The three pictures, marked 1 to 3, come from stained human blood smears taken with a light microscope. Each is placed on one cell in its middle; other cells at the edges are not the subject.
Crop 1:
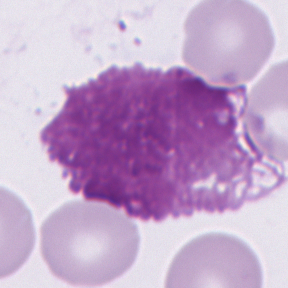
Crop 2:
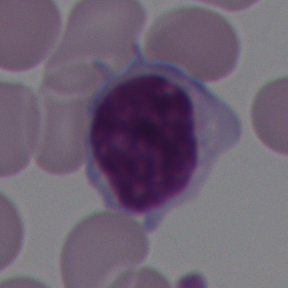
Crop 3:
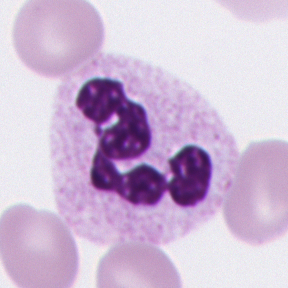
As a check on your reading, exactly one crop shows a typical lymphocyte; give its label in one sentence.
In this series, a typical lymphocyte is shown by crop 2.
